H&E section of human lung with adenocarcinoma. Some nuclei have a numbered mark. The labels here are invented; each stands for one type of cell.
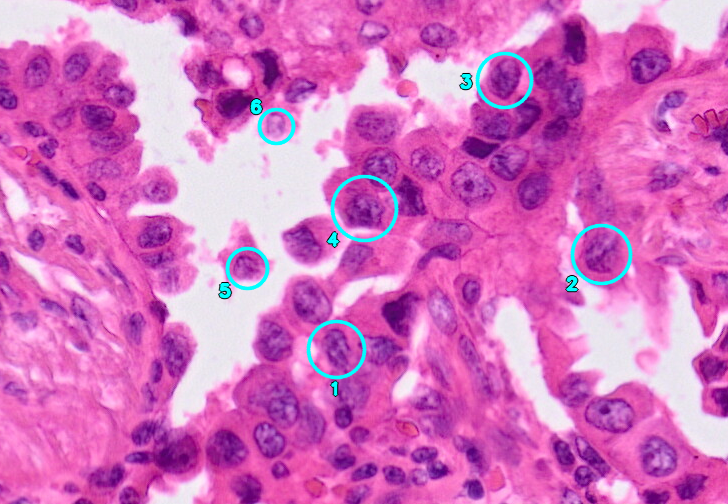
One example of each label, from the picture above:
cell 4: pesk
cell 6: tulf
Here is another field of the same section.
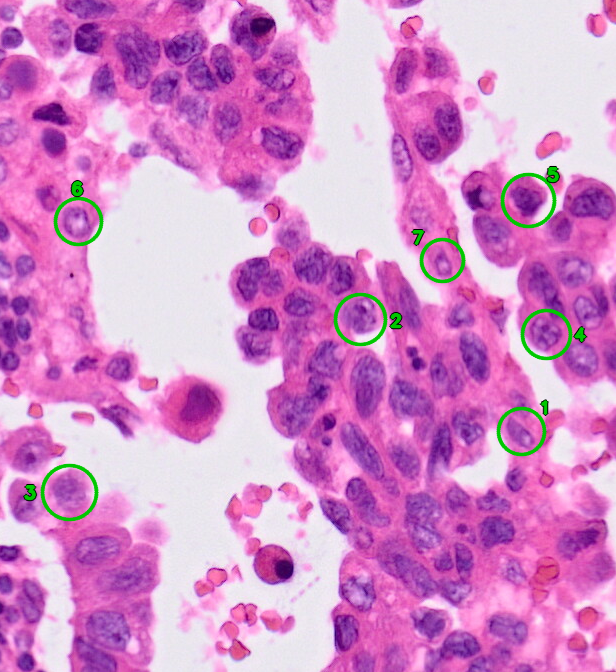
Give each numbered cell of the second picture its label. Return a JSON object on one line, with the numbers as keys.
{"1": "tulf", "2": "pesk", "3": "pesk", "4": "pesk", "5": "pesk", "6": "tulf", "7": "tulf"}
